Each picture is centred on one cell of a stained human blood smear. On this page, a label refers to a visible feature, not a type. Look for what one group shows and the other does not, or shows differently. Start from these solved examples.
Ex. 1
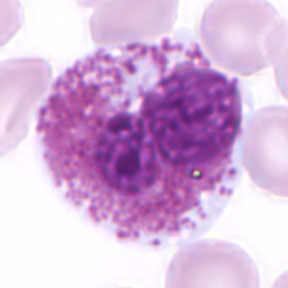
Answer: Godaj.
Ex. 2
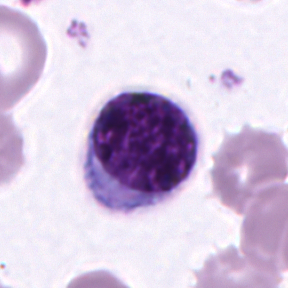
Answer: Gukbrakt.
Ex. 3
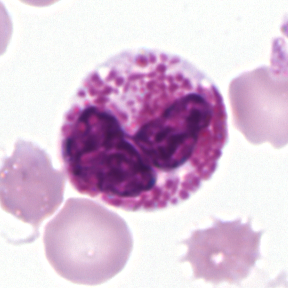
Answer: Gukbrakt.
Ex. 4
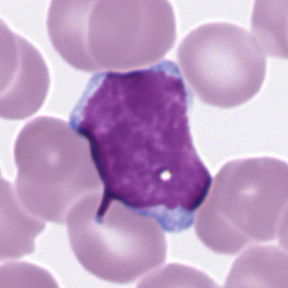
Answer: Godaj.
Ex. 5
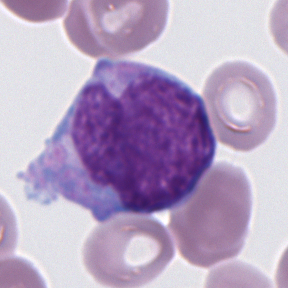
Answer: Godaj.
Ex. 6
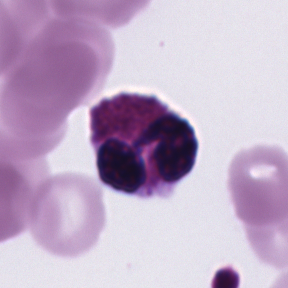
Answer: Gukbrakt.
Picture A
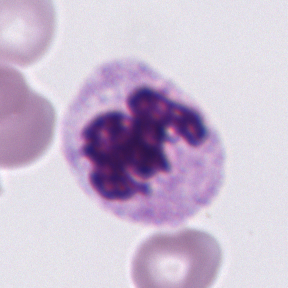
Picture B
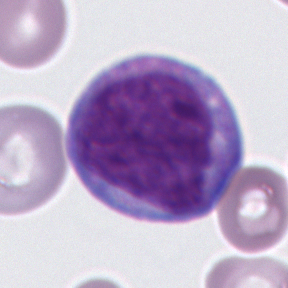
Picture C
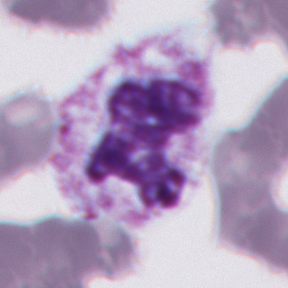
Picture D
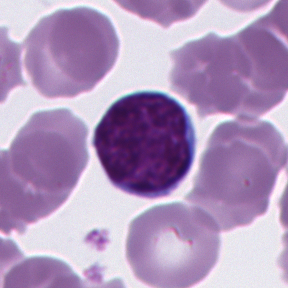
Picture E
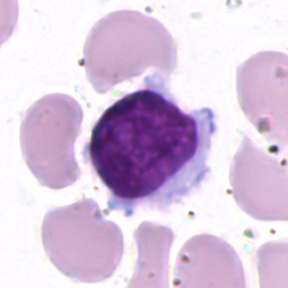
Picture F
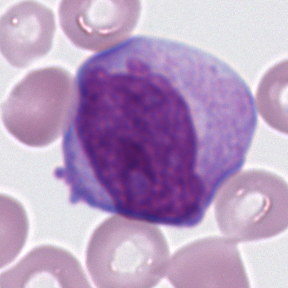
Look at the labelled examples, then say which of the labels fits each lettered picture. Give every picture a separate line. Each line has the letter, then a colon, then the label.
A: Gukbrakt.
B: Gukbrakt.
C: Godaj.
D: Gukbrakt.
E: Godaj.
F: Godaj.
